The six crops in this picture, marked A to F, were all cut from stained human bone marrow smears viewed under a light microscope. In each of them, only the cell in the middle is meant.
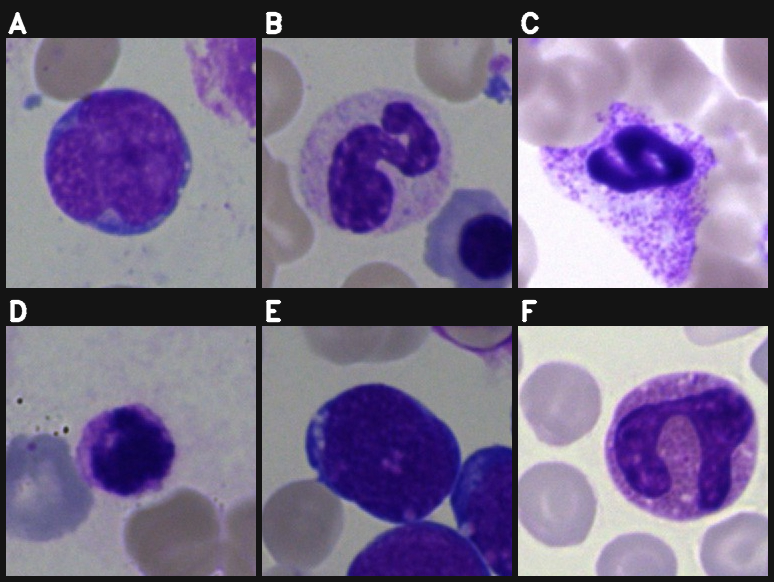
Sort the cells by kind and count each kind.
blast: 2
segmented neutrophil: 2
basophil: 1
eosinophil: 1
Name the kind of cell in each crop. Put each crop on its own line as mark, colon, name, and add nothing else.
A: blast
B: segmented neutrophil
C: segmented neutrophil
D: basophil
E: blast
F: eosinophil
